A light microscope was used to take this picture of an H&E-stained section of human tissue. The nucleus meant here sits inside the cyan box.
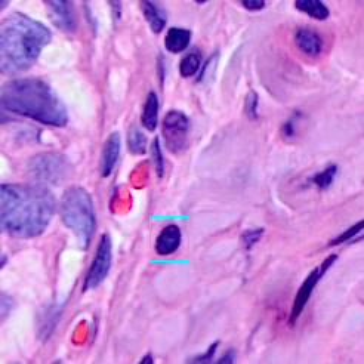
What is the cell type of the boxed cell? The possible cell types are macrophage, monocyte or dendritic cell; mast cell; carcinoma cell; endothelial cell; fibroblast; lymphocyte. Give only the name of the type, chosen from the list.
mast cell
